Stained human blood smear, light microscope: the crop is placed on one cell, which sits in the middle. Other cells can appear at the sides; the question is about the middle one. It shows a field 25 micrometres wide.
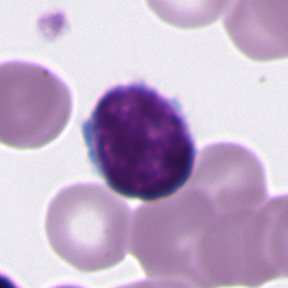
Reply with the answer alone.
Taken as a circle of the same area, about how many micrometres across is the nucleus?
9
